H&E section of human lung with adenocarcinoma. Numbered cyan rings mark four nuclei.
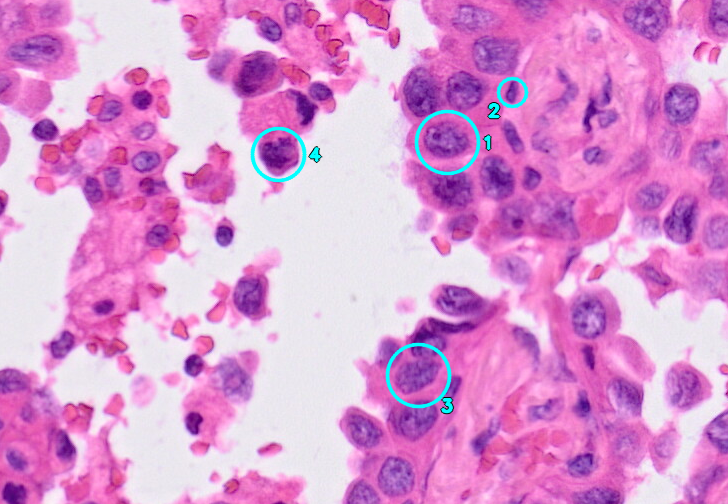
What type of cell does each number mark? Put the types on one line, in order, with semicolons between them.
carcinoma cell; lymphocyte; carcinoma cell; carcinoma cell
